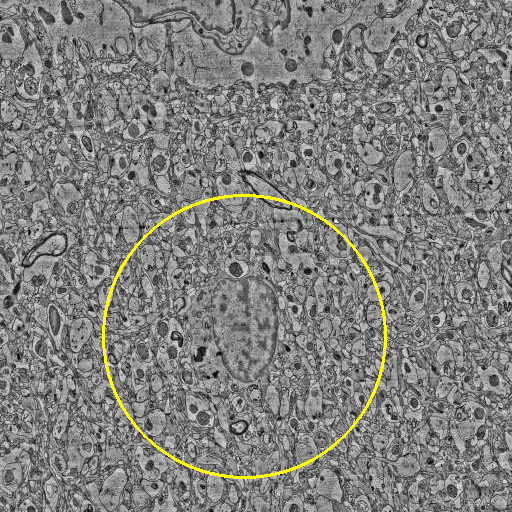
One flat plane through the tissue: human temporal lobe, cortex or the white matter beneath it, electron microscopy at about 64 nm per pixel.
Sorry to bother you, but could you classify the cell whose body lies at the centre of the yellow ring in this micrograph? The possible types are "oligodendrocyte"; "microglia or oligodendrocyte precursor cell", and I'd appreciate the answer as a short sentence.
The ringed cell body is that of an oligodendrocyte.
